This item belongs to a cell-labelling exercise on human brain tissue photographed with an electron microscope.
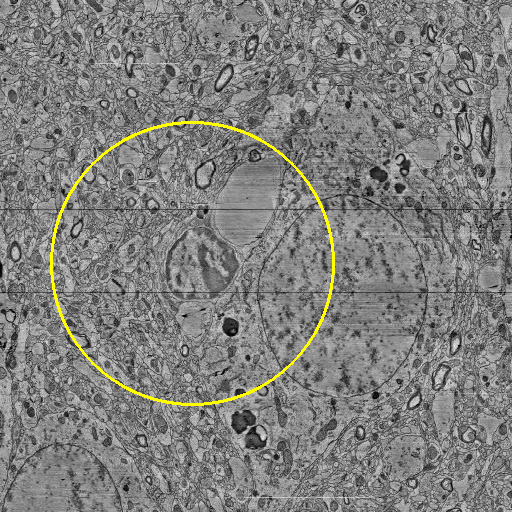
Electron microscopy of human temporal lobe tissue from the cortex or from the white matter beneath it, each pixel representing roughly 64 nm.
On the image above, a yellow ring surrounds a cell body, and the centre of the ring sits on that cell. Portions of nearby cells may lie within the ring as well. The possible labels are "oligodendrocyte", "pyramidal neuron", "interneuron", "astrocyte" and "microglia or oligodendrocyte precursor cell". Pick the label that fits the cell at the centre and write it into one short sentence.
This cell should be labelled as a microglial cell or oligodendrocyte precursor cell.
